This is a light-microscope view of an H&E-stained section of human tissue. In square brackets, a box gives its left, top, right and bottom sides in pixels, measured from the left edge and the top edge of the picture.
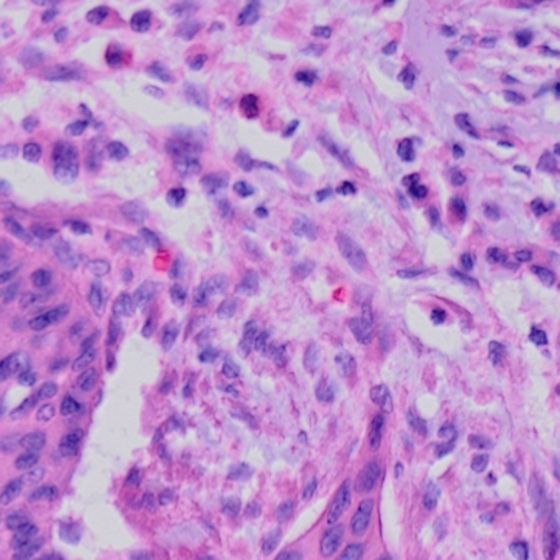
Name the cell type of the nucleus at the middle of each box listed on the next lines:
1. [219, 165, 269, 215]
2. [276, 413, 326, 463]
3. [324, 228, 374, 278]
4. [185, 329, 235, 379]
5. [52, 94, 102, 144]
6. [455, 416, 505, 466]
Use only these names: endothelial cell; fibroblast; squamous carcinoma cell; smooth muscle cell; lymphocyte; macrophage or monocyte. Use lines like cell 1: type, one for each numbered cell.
cell 1: lymphocyte
cell 2: fibroblast
cell 3: fibroblast
cell 4: fibroblast
cell 5: macrophage or monocyte
cell 6: fibroblast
